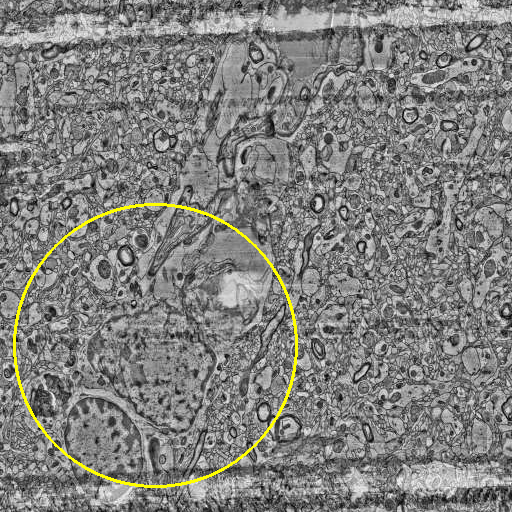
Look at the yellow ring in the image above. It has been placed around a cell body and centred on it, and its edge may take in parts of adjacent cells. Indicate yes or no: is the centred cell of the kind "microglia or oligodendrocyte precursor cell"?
yes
